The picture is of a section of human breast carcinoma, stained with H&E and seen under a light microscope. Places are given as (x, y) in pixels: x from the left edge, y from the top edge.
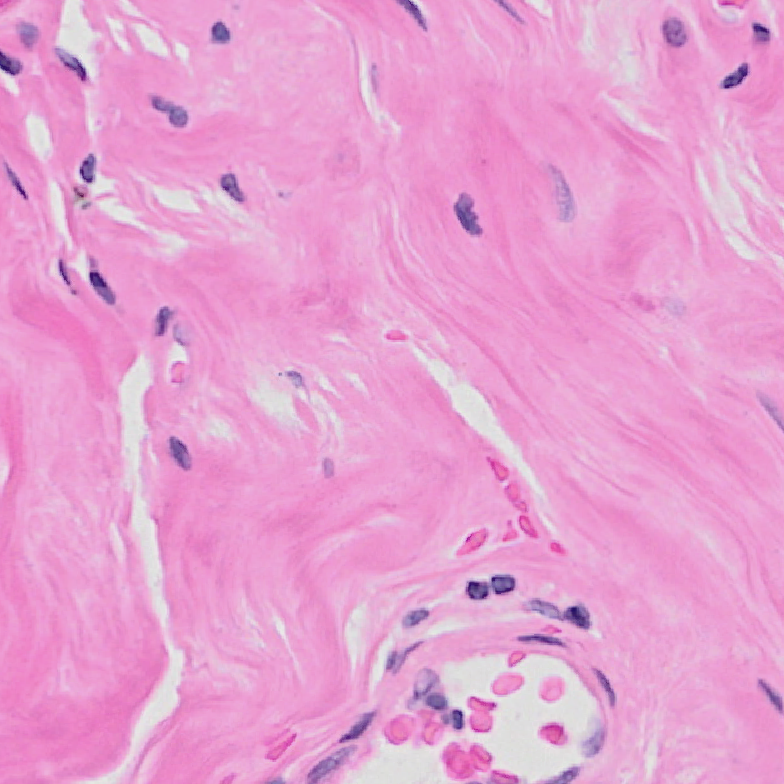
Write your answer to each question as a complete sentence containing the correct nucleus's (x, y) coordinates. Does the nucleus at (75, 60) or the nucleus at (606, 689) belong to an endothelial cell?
The nucleus at (606, 689) is attributed to an endothelial cell, unlike the other nucleus.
